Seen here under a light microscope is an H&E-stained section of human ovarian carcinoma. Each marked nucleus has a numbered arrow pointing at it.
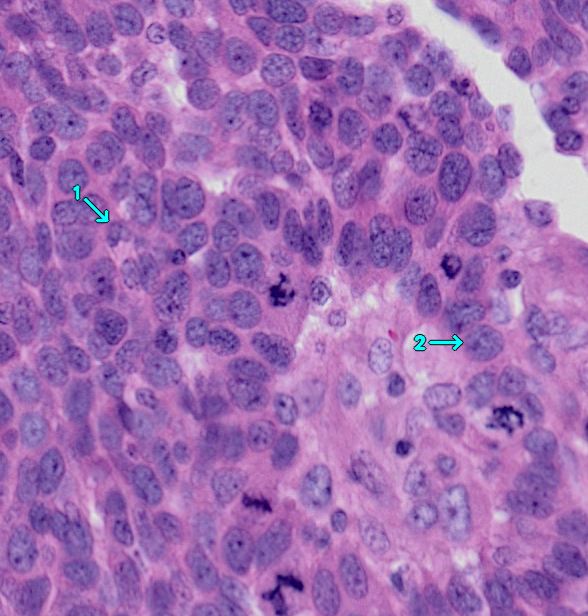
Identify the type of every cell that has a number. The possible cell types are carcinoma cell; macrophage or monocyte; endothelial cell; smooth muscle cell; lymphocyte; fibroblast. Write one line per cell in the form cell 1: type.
cell 1: macrophage or monocyte
cell 2: carcinoma cell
